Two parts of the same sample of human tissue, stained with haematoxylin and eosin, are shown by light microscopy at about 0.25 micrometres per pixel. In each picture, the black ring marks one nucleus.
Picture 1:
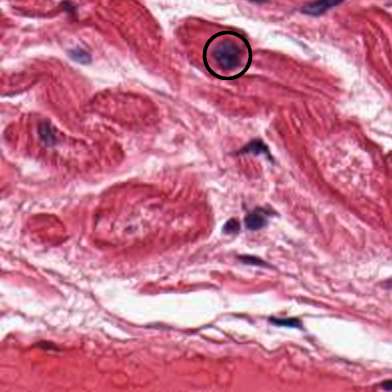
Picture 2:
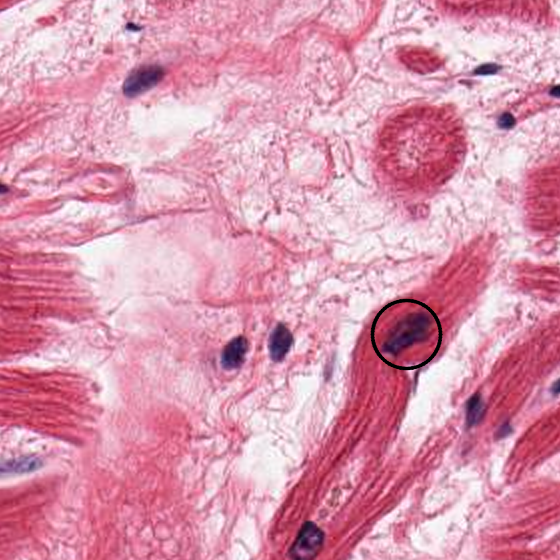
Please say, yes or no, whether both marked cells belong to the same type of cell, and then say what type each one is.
Yes, both are cardiomyocytes.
